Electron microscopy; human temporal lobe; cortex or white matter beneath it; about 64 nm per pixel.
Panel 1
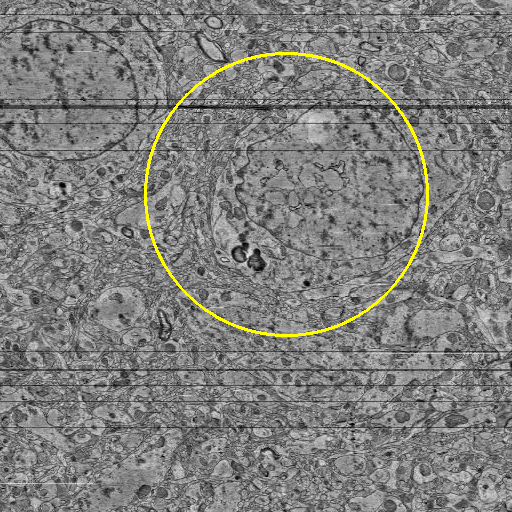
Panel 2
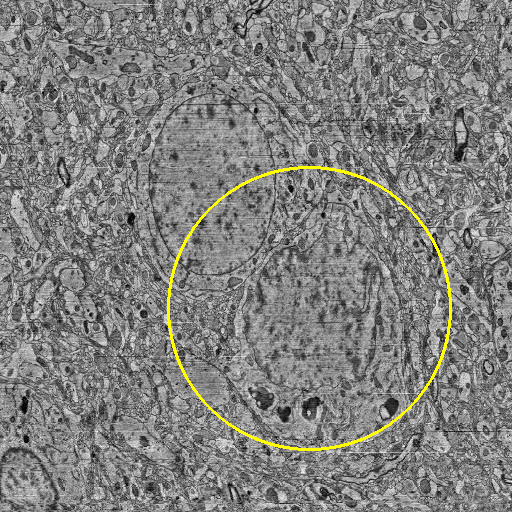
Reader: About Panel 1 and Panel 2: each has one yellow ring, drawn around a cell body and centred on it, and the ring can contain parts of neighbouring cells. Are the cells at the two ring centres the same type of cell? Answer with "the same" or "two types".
two types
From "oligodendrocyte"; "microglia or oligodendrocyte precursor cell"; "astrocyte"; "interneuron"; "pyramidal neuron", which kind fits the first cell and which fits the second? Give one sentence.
The cell marked in the first picture is a pyramidal neuron, and the one marked in the second is an interneuron.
